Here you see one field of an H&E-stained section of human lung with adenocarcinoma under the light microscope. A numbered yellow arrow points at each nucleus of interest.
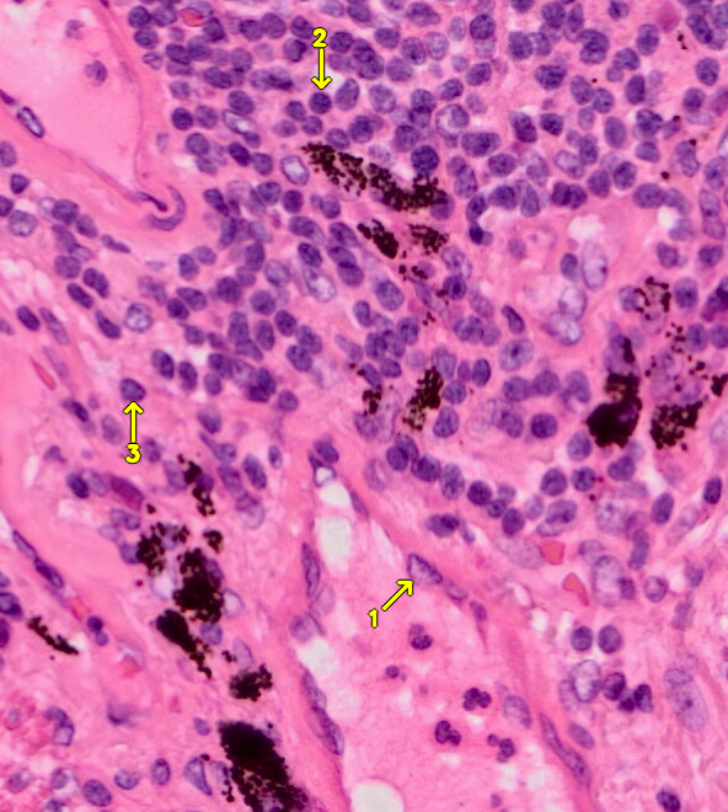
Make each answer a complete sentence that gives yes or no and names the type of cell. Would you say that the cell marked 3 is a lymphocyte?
No, cell 3, which is a mast cell, is not a lymphocyte.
